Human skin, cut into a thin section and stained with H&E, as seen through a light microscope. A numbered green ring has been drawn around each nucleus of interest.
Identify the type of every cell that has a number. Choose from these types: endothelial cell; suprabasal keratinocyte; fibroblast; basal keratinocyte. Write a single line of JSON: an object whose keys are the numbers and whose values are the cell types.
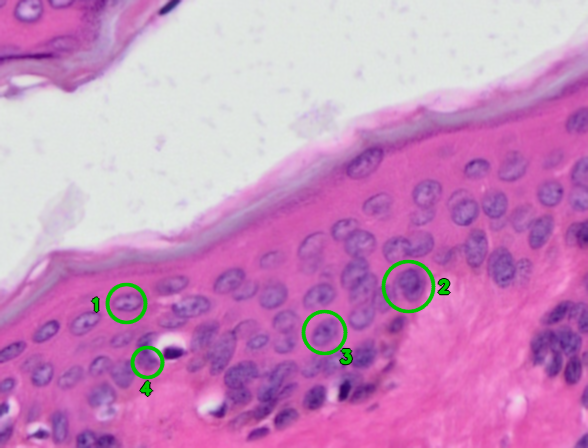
{"1": "suprabasal keratinocyte", "2": "basal keratinocyte", "3": "suprabasal keratinocyte", "4": "basal keratinocyte"}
